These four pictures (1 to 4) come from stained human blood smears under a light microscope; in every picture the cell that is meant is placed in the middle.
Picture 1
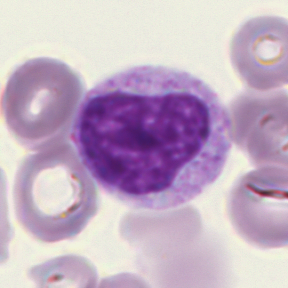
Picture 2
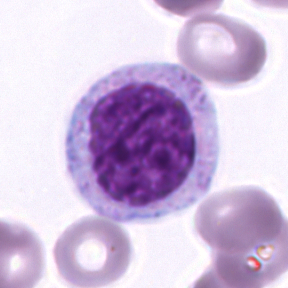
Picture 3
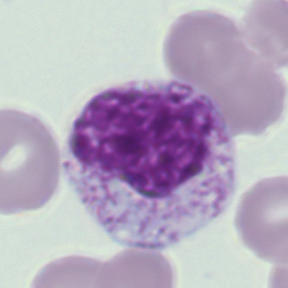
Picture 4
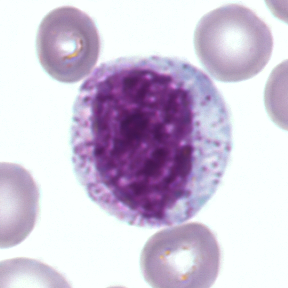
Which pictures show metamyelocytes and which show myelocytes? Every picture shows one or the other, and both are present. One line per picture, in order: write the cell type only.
metamyelocyte
myelocyte
metamyelocyte
metamyelocyte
